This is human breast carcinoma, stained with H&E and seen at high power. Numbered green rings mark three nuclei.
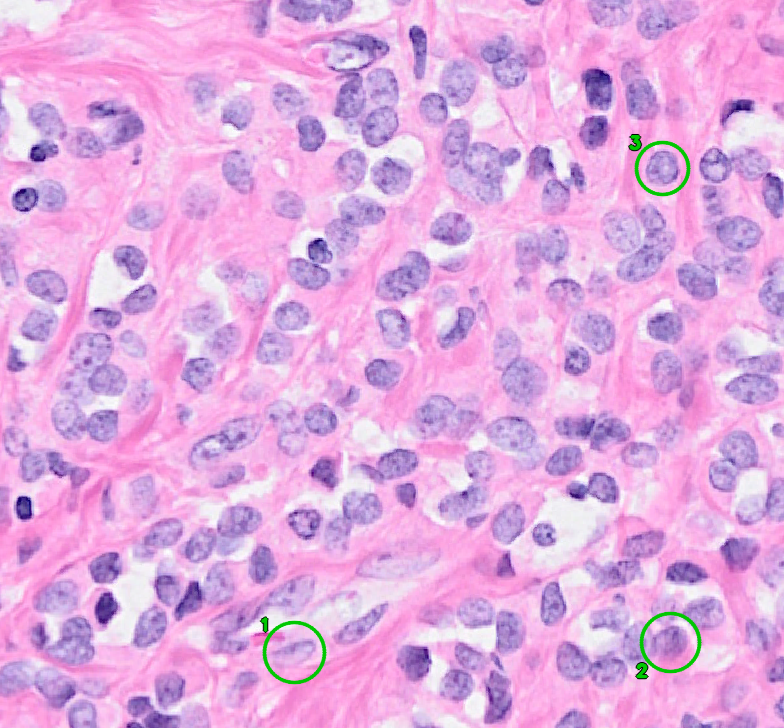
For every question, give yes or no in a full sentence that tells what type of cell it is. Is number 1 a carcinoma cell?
No, calling cell 1 a carcinoma cell is a mistake; it is an endothelial cell.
